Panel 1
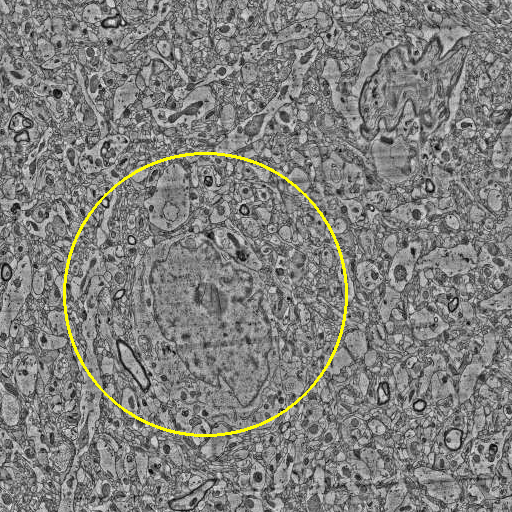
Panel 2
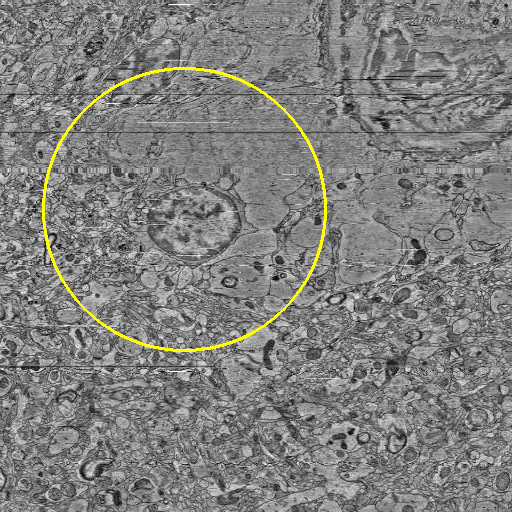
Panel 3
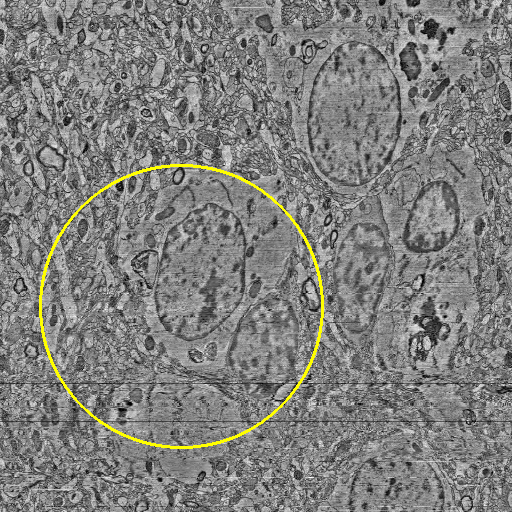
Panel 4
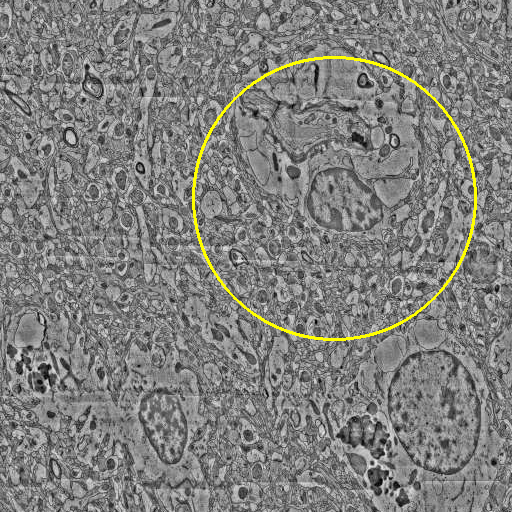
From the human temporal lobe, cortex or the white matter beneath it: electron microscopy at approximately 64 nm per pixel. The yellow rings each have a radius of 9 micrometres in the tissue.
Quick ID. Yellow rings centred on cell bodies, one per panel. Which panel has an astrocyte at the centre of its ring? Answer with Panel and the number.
Panel 3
